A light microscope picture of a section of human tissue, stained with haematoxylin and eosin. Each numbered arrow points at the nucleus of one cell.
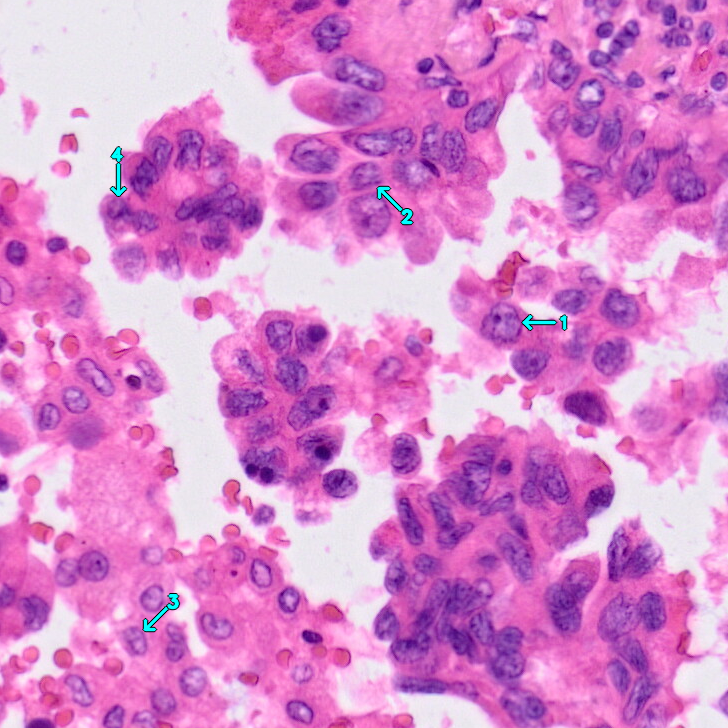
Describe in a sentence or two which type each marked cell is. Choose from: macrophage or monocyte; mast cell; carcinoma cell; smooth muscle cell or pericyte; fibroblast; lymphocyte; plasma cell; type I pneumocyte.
Cell 1 is a carcinoma cell, cell 2 is a carcinoma cell, cell 3 is a macrophage or monocyte and cell 4 is a carcinoma cell.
